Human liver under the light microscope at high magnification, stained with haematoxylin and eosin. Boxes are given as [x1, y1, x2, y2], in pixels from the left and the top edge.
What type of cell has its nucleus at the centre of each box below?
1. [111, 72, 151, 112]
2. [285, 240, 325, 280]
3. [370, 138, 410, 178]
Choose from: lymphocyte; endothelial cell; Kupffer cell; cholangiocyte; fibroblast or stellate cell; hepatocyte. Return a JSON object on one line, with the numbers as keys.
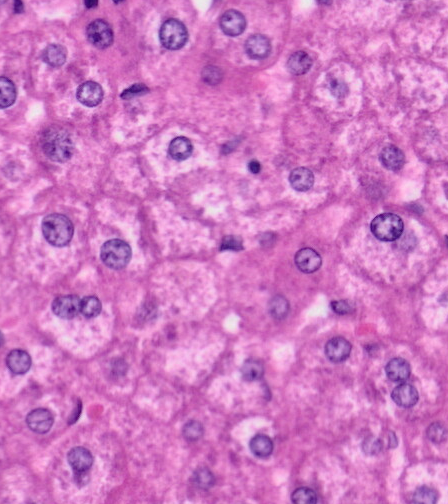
{"1": "endothelial cell", "2": "hepatocyte", "3": "hepatocyte"}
